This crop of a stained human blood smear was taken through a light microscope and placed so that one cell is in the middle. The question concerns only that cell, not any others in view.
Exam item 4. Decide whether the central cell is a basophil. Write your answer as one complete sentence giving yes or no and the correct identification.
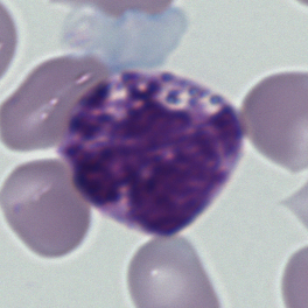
Yes, shown in the middle of the crop is a basophil.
